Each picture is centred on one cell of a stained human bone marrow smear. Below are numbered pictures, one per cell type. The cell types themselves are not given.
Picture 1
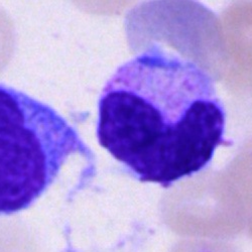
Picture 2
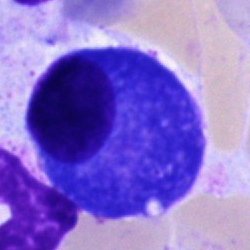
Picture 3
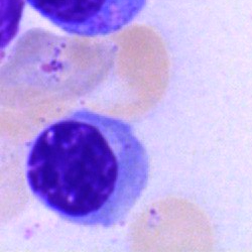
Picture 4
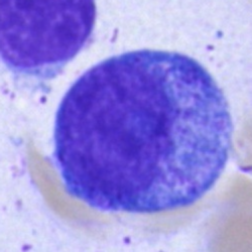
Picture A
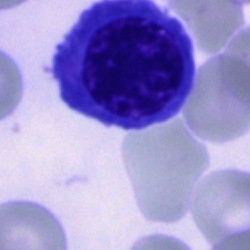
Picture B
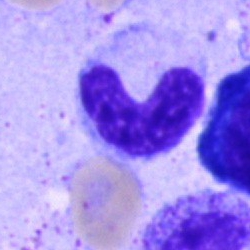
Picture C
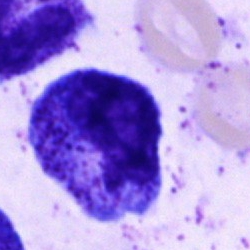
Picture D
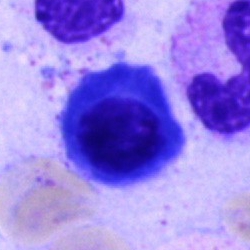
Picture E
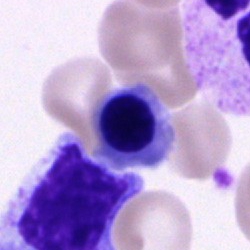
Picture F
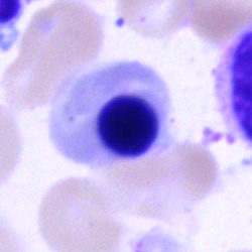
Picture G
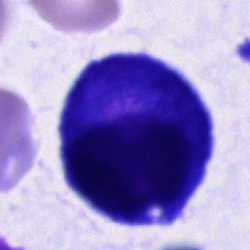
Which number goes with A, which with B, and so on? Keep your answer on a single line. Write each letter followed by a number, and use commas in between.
A 3, B 1, C 4, D 2, E 3, F 3, G 2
